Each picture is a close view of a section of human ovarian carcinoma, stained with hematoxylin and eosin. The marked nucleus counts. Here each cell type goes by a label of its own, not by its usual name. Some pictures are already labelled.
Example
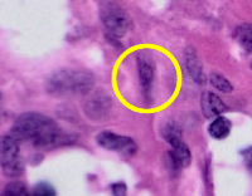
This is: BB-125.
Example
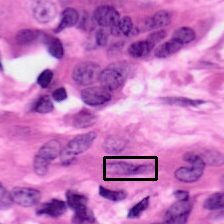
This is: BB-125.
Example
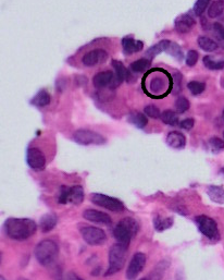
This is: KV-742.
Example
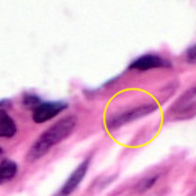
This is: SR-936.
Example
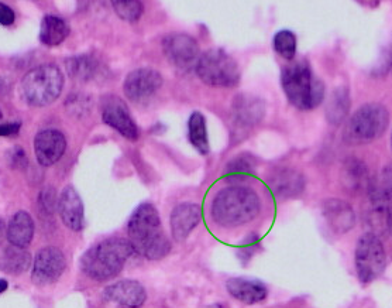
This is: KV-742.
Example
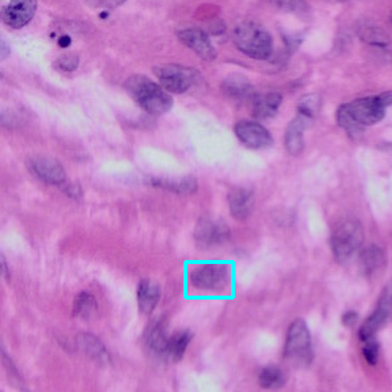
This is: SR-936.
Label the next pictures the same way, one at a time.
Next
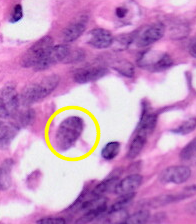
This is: KV-742.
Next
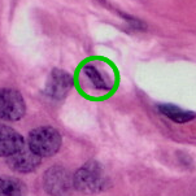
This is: SR-936.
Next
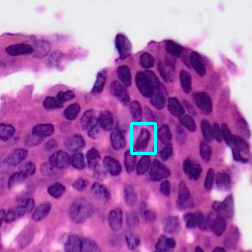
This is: KV-742.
